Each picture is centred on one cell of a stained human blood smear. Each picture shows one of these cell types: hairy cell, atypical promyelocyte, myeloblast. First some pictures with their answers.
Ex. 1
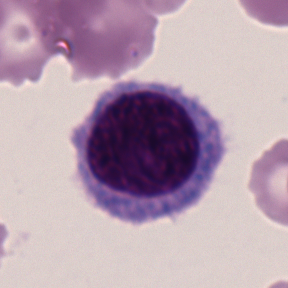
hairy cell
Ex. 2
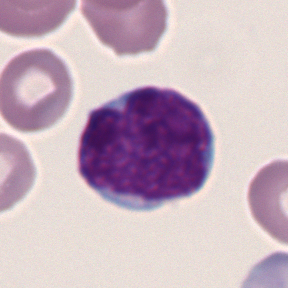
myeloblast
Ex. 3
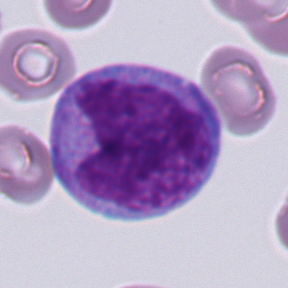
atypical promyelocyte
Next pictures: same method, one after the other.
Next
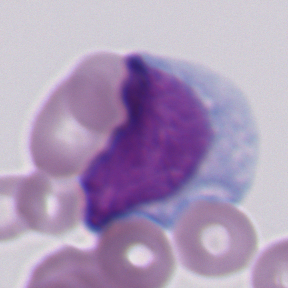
myeloblast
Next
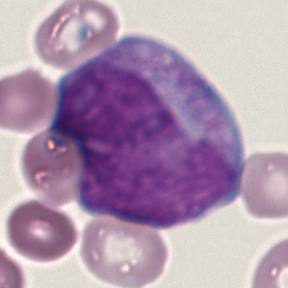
atypical promyelocyte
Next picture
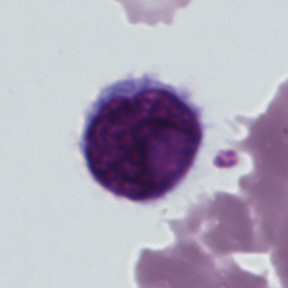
hairy cell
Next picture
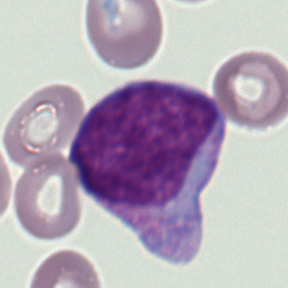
atypical promyelocyte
